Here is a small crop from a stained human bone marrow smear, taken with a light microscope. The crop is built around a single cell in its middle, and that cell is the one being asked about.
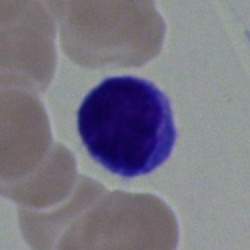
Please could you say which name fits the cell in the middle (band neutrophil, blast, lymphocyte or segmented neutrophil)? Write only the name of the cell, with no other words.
lymphocyte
